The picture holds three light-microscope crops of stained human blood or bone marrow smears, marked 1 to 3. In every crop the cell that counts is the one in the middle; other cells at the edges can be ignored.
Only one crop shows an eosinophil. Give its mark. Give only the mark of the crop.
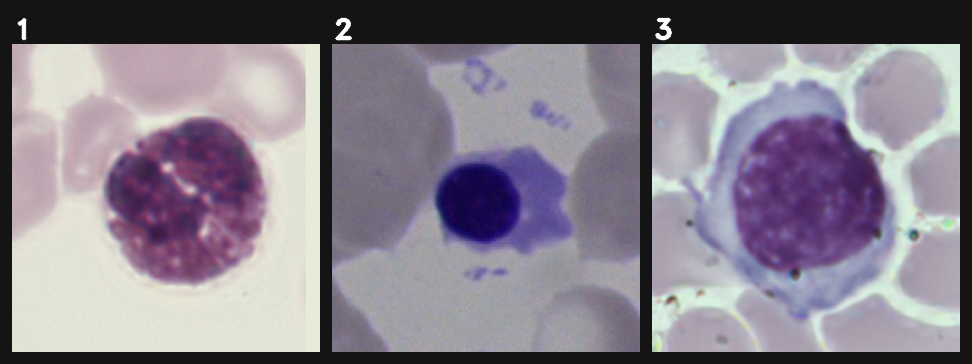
1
